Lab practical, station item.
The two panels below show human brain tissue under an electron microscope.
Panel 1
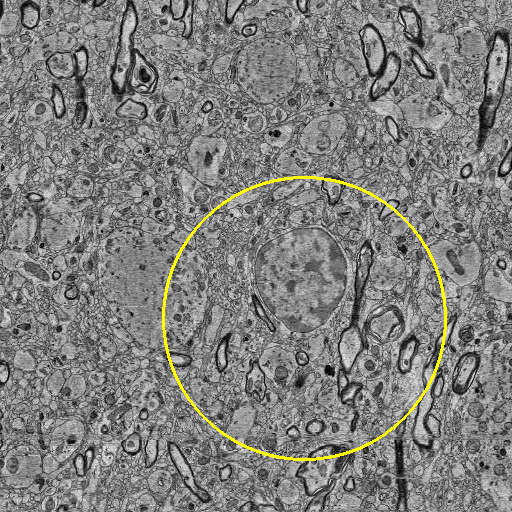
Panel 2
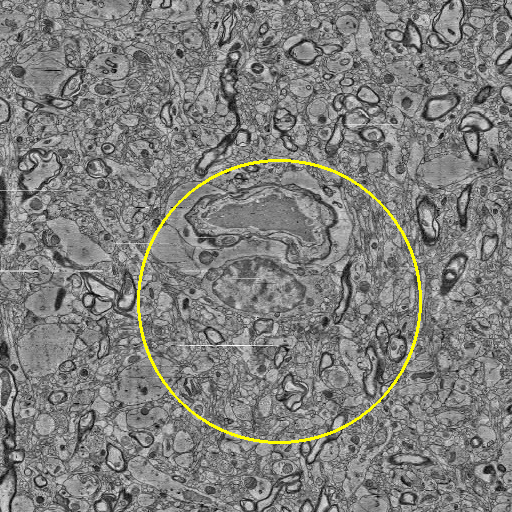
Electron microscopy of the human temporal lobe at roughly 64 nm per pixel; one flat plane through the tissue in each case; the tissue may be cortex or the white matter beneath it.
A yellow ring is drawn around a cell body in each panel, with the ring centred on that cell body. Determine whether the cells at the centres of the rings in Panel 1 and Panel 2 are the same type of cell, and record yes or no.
no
